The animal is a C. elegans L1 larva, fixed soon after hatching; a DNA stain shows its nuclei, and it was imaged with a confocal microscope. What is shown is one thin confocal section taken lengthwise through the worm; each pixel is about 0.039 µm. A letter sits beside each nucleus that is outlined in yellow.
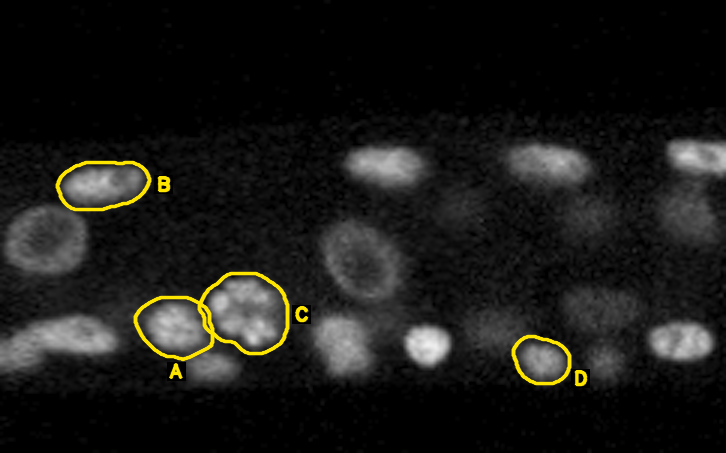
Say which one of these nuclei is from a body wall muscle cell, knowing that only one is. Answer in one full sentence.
B is from a body wall muscle cell.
